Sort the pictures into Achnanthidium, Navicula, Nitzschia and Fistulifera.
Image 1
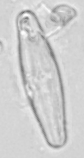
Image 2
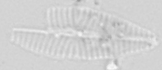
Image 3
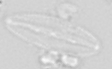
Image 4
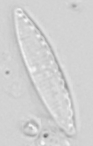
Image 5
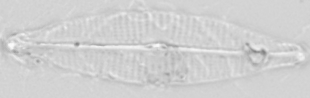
Achnanthidium: 1
Navicula: 2, 5
Fistulifera: 3
Nitzschia: 4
